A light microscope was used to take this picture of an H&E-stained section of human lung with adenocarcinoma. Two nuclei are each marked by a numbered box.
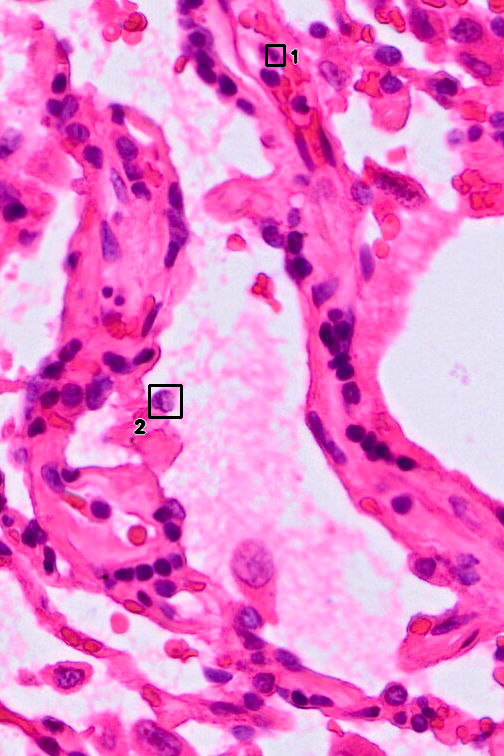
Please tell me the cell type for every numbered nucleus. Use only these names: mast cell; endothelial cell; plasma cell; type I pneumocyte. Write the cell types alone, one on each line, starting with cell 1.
endothelial cell
type I pneumocyte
